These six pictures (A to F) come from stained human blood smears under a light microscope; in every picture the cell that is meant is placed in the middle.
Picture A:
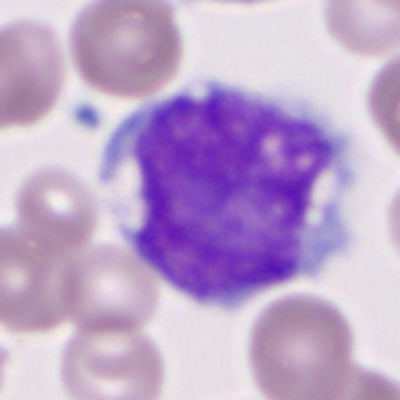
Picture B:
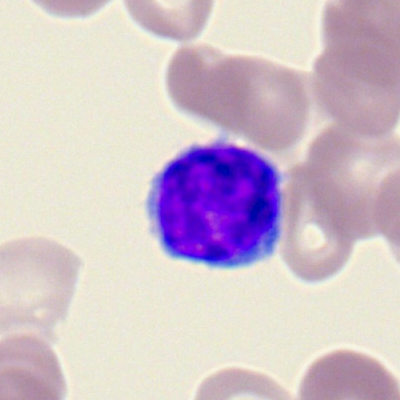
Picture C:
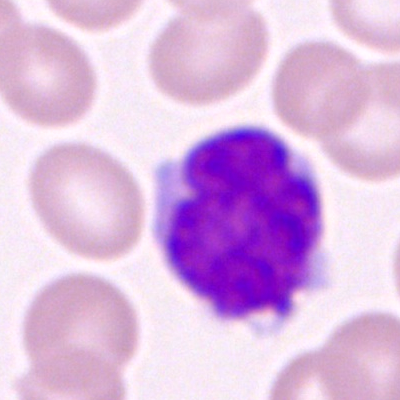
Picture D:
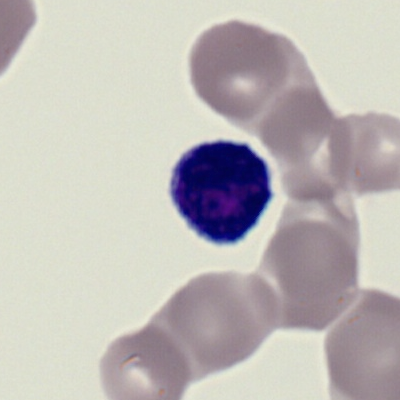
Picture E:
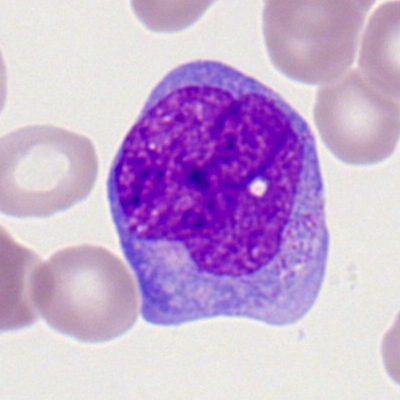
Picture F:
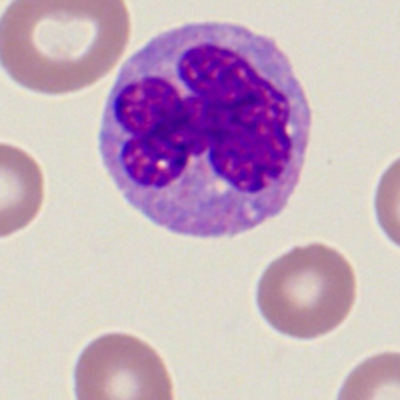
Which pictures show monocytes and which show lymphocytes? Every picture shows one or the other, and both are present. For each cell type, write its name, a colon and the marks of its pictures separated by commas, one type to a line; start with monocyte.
monocyte: A, E, F
lymphocyte: B, C, D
